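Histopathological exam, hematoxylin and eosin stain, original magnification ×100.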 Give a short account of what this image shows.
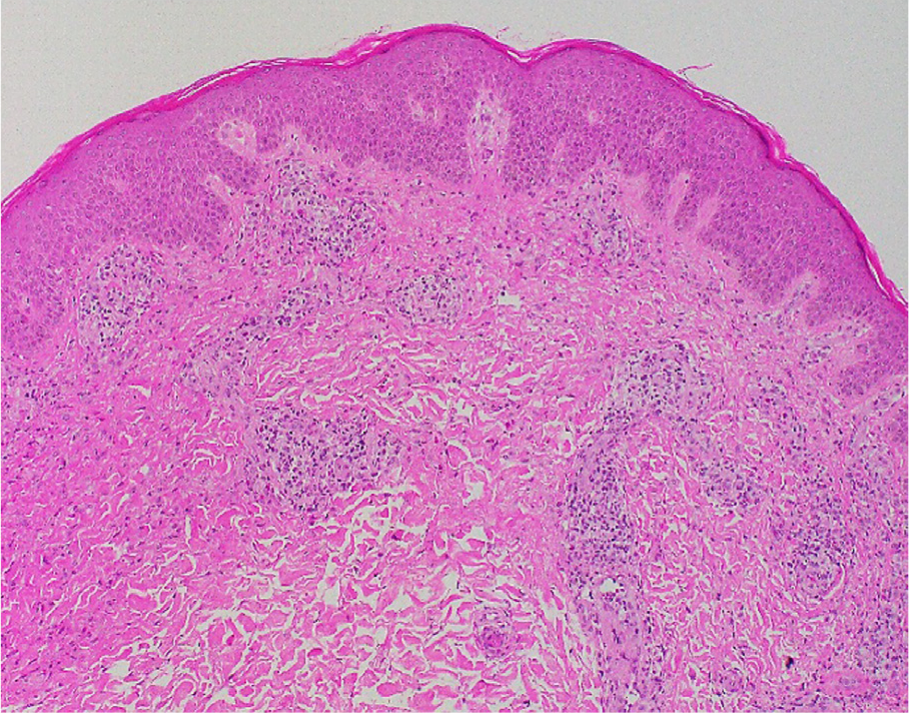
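This is a section of skin with the epidermis across the top and the dermis below, stained pink and purple. The epidermis is a thick stratified layer of closely packed cells capped by a thin bright pink layer, and its lower border forms irregular downward projections into the dermis. The dermis is made of pink, wavy collagen fibres that loosen toward the bottom of the image. Scattered through the upper and mid dermis are rounded, dense clusters of small dark-nucleated inflammatory cells gathered around small vessels, with relatively few cells in the collagen between them.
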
